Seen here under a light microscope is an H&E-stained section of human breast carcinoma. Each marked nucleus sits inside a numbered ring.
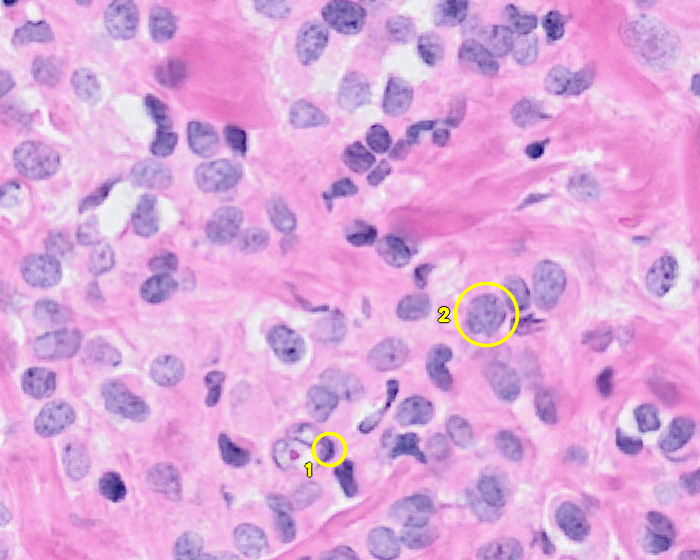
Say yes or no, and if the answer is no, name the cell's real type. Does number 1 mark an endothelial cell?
Yes.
